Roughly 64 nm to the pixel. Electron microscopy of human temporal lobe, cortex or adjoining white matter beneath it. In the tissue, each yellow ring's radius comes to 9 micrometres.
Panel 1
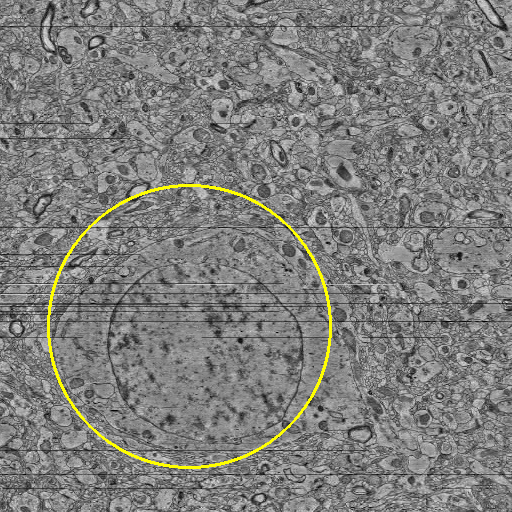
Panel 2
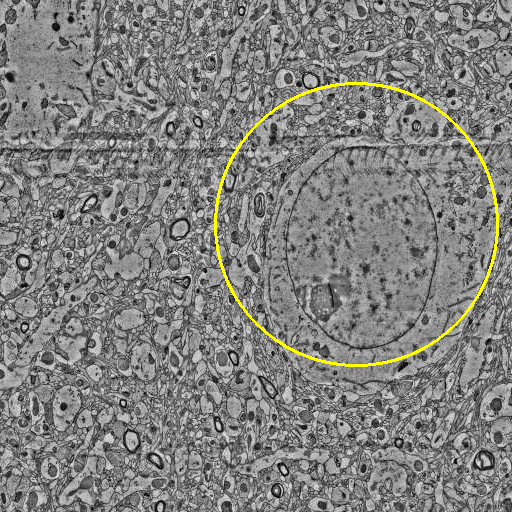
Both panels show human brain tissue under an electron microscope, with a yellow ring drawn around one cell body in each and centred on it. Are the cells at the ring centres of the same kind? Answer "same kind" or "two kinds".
same kind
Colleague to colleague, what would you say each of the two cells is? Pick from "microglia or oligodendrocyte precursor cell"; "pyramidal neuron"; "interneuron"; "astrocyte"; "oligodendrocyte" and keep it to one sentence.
In both pictures the ring is centred on a pyramidal neuron.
